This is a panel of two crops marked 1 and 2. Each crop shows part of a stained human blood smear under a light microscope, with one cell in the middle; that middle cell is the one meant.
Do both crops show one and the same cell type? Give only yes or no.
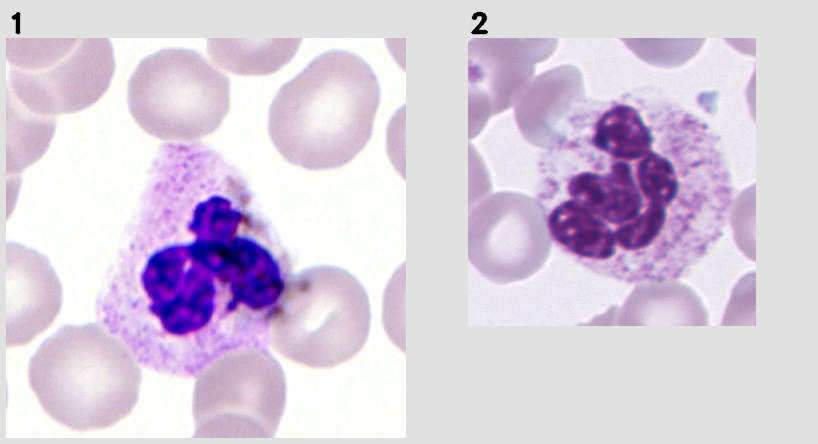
yes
